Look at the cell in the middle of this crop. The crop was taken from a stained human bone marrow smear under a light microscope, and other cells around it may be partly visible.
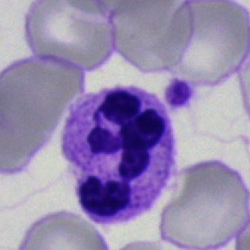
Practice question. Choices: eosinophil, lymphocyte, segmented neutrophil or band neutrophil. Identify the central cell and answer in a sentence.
The central cell, amid any neighbouring cells, is a segmented neutrophil.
